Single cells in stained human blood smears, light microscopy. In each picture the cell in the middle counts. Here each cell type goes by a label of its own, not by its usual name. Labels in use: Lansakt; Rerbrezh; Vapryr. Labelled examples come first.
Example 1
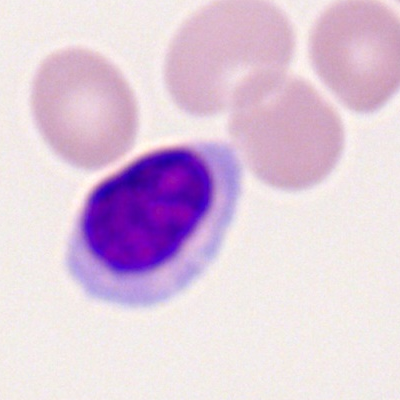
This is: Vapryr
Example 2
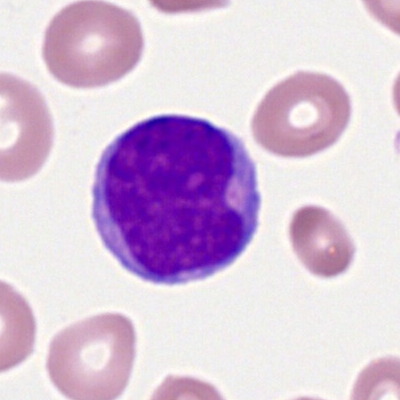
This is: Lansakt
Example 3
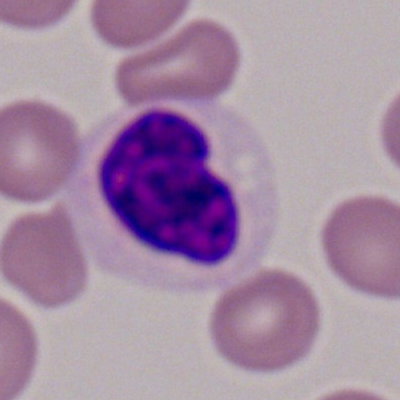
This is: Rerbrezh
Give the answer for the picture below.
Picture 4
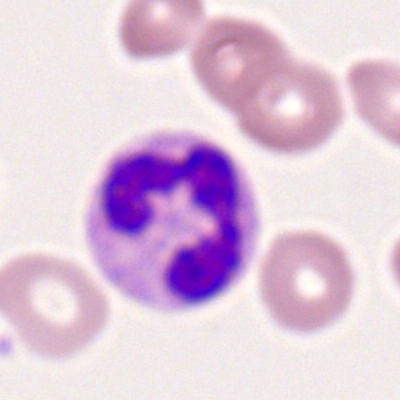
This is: Rerbrezh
